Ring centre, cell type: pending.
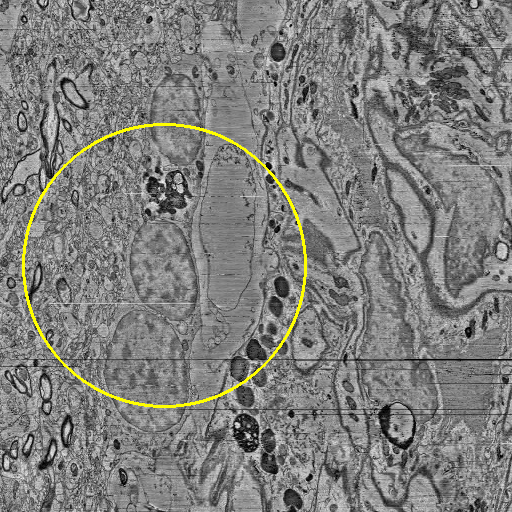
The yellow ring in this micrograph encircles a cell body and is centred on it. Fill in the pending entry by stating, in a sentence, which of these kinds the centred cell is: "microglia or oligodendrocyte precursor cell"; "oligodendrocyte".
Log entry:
The centred cell is recorded as an oligodendrocyte.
